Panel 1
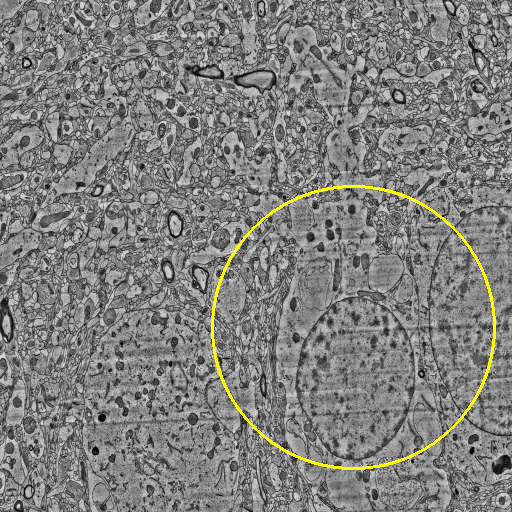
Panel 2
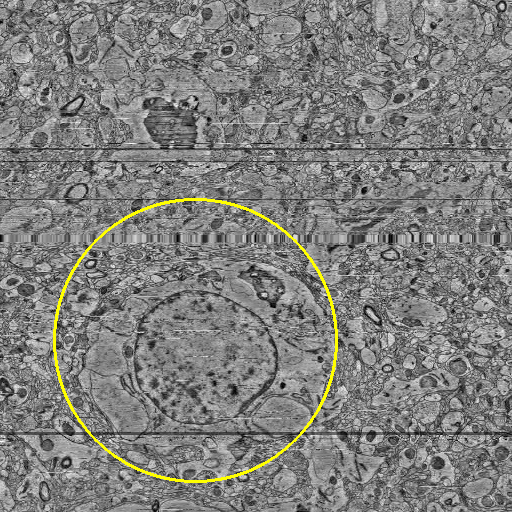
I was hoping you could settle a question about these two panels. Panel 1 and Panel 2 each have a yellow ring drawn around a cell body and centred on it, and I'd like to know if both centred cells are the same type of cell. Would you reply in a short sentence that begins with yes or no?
Yes, both are the same type of cell.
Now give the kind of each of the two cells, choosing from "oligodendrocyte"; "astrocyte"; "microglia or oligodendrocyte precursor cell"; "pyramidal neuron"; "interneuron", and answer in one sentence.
Each of the ringed cells, first and second, is an astrocyte.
